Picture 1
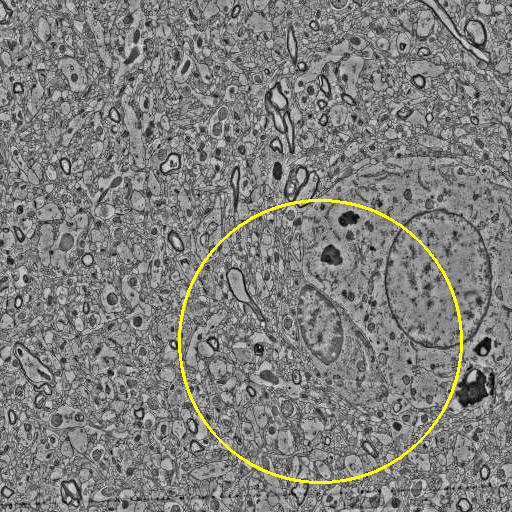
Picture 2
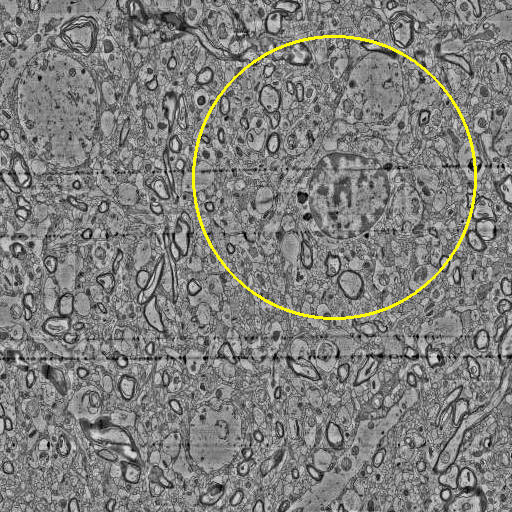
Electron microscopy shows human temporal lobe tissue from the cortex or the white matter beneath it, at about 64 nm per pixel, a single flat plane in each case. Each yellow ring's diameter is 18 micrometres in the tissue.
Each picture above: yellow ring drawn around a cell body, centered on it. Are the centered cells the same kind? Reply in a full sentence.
No, the two cells are two kinds of cell.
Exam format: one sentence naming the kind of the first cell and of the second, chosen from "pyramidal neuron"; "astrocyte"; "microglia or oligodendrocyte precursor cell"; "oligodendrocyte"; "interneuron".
The first picture's cell is an oligodendrocyte, and the second picture's cell is a microglial cell or oligodendrocyte precursor cell.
